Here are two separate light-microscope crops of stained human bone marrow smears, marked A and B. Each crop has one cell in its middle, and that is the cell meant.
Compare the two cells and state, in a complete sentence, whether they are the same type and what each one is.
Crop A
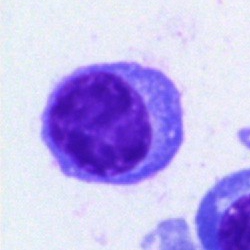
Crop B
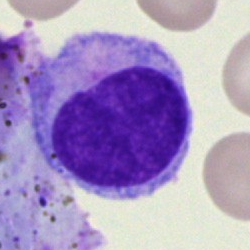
No, a plasma cell is what occupies crop A, and a hairy cell is what occupies crop B.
